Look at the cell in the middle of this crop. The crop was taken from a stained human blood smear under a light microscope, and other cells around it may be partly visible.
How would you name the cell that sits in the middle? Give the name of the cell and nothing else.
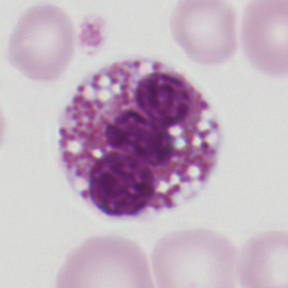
eosinophil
